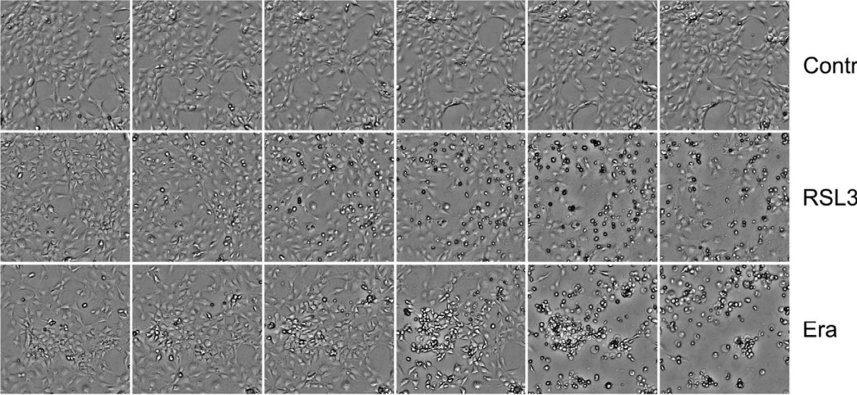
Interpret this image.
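A grid of unstained, low-magnification views of cultured cells growing as a flat monolayer. In the top row the cells are spread and flattened, spindle-shaped to polygonal, with short extensions. They lie close together and cover most of the dish, and this stays steady from frame to frame. In the two lower rows the cells look the same in the first frames. Further along each row, more and more of them become small, round and bright-rimmed, sitting singly or in clumps. The flat cells between them thin out, leaving bare patches. Rounded, refractile, detached cells like these are what dying cultured cells look like.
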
